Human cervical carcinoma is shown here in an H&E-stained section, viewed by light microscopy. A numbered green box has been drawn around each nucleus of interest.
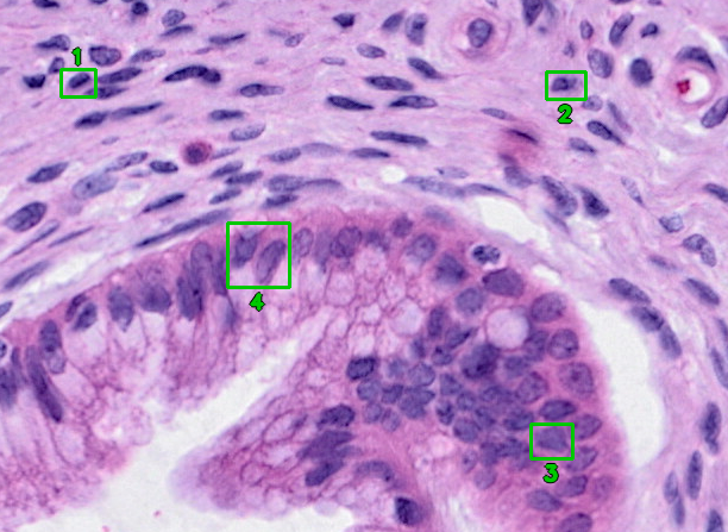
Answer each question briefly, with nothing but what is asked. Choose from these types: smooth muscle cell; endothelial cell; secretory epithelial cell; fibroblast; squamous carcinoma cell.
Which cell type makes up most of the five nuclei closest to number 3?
secretory epithelial cell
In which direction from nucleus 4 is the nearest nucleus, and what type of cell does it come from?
a secretory epithelial cell; to the right of nucleus 4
